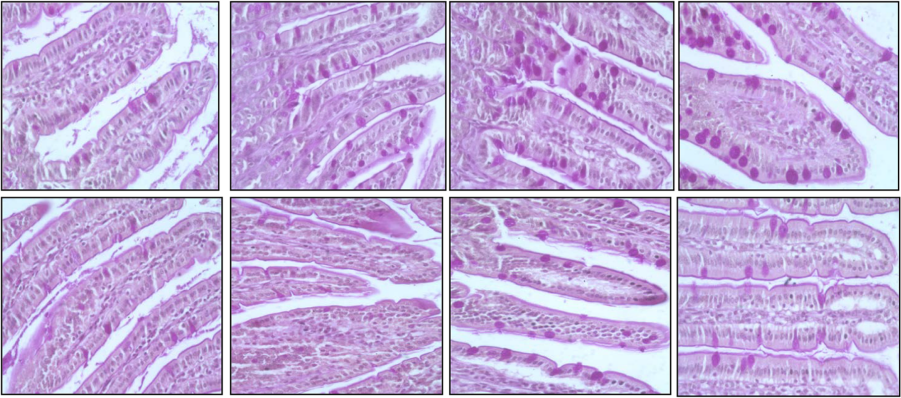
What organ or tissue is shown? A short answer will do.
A: Small intestine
